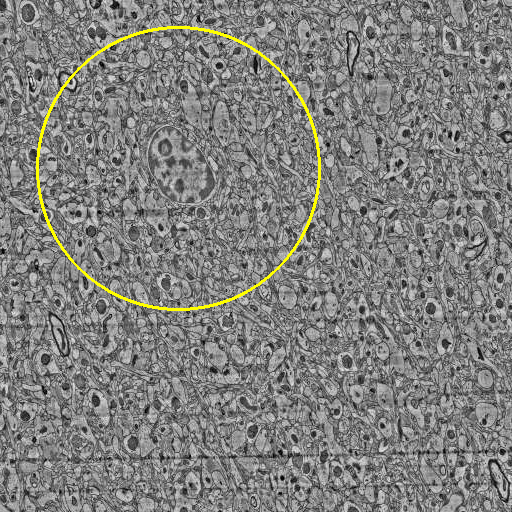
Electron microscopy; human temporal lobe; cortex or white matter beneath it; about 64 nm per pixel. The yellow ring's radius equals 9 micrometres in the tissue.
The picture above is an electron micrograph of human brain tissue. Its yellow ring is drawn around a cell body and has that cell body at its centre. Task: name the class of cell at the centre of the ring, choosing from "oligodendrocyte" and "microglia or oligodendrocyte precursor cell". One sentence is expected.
The ring surrounds the body of a microglial cell or oligodendrocyte precursor cell.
